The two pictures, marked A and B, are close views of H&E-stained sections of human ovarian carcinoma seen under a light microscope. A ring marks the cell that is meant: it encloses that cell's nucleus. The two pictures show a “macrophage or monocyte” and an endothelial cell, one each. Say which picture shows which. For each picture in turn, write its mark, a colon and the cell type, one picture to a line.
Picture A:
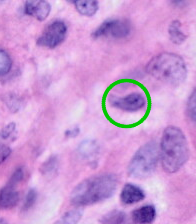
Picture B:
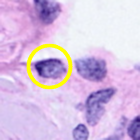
A: macrophage or monocyte
B: endothelial cell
